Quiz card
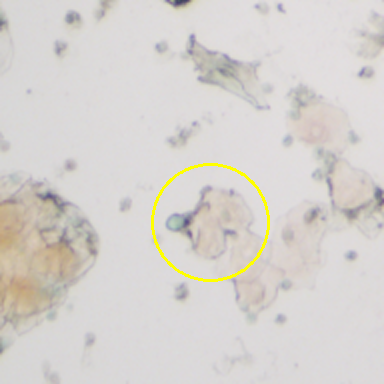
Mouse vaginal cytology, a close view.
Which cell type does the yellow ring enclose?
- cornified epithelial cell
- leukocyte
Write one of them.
cornified epithelial cell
